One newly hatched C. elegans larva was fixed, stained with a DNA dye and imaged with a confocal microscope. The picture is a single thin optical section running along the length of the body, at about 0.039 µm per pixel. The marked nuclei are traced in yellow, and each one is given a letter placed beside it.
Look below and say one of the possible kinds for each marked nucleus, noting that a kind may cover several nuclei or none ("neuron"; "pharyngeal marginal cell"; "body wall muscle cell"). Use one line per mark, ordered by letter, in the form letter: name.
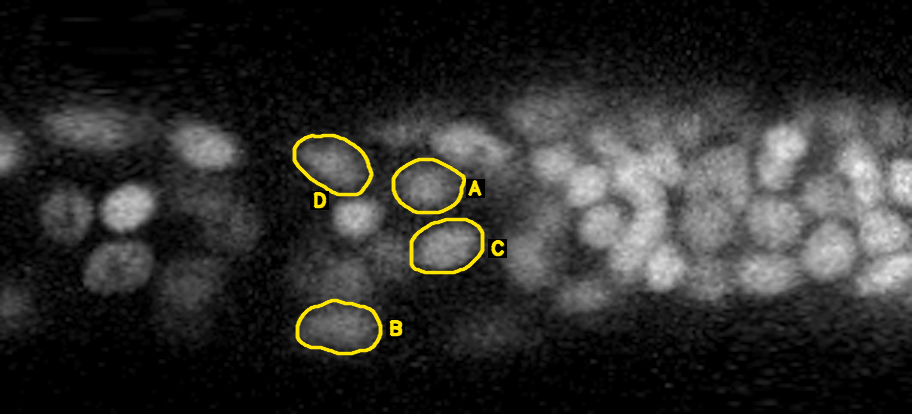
A: neuron
B: body wall muscle cell
C: pharyngeal marginal cell
D: body wall muscle cell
